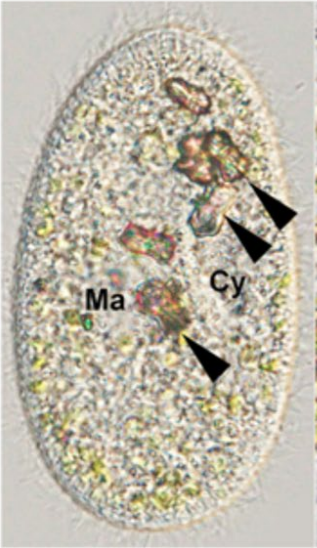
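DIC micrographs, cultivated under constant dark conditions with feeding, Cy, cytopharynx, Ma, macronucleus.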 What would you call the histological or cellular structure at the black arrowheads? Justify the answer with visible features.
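Crystals. The arrowheads point to angular, iridescent clumps inside the cell. The clumps show red, green and gold birefringent colours unlike the surrounding cytoplasm.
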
